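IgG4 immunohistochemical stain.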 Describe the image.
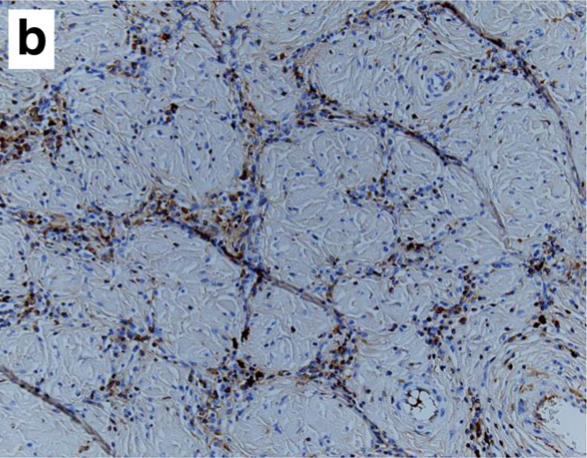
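Pale, blue-counterstained fibrous nodules with few nuclei are separated by a network of cellular bands. Within these bands lie numerous small round plasma cells whose cytoplasm is stained brown, mixed with blue-nucleated unstained cells.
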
